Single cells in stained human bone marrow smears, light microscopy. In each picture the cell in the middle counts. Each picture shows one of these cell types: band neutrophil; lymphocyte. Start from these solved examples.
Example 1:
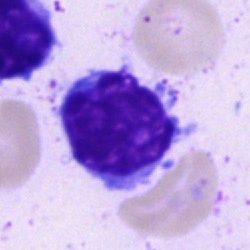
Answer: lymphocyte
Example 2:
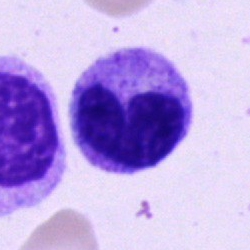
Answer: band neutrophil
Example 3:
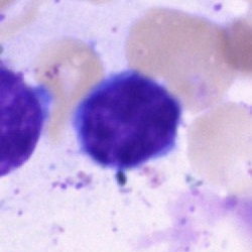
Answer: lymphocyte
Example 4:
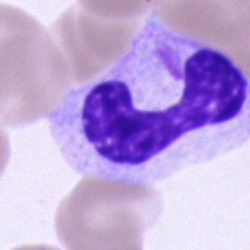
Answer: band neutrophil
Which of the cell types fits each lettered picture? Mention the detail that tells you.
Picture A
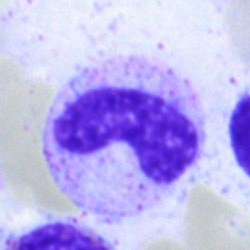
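band neutrophil. Reason: The cytoplasm is plentiful and pale lilac.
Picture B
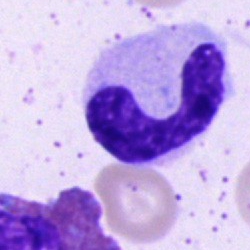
band neutrophil. Reason: The cytoplasm is plentiful and pale blue-grey.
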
